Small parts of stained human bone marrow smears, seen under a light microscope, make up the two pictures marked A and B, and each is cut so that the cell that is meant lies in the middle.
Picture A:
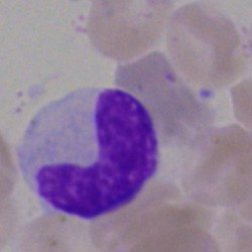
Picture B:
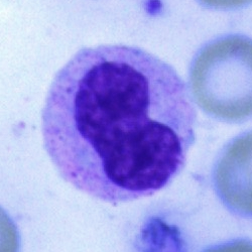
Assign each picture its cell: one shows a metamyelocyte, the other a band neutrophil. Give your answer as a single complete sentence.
In picture A the cell is a band neutrophil; in picture B, a metamyelocyte.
